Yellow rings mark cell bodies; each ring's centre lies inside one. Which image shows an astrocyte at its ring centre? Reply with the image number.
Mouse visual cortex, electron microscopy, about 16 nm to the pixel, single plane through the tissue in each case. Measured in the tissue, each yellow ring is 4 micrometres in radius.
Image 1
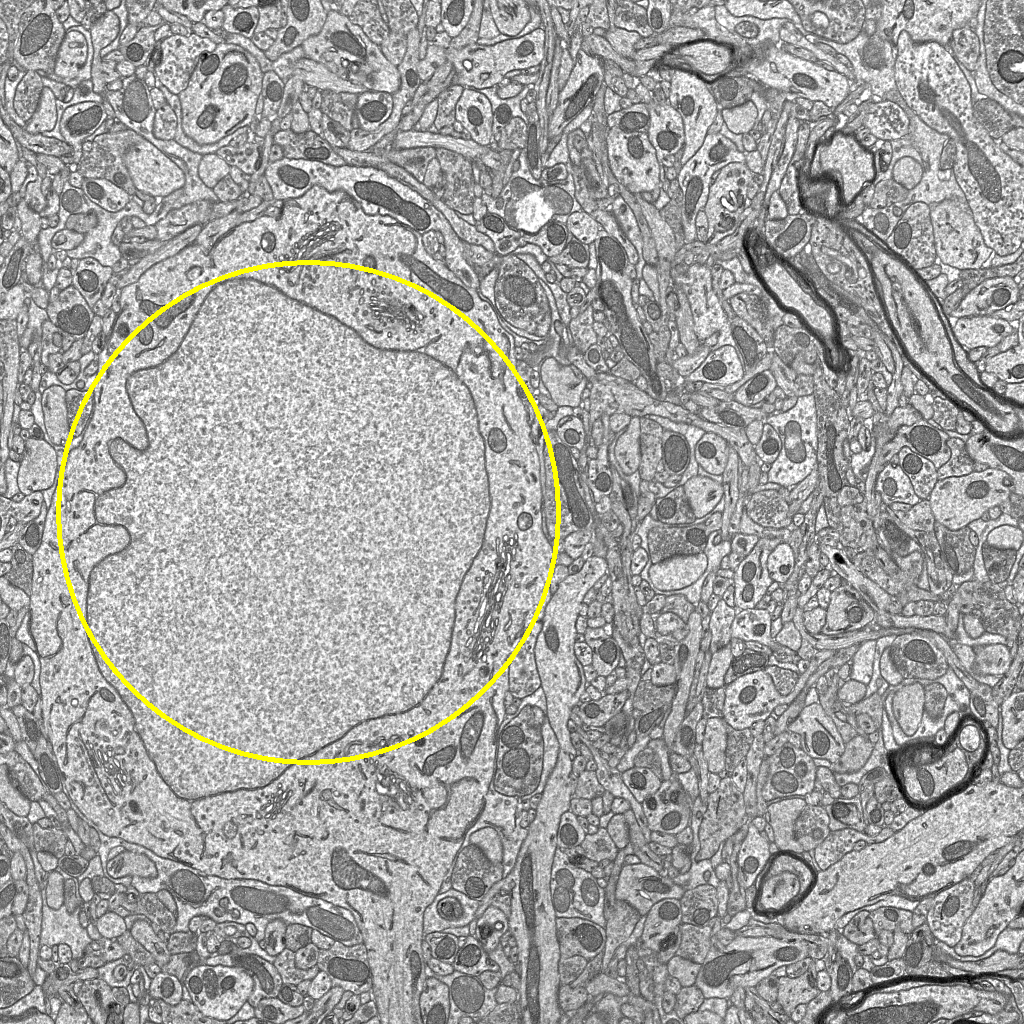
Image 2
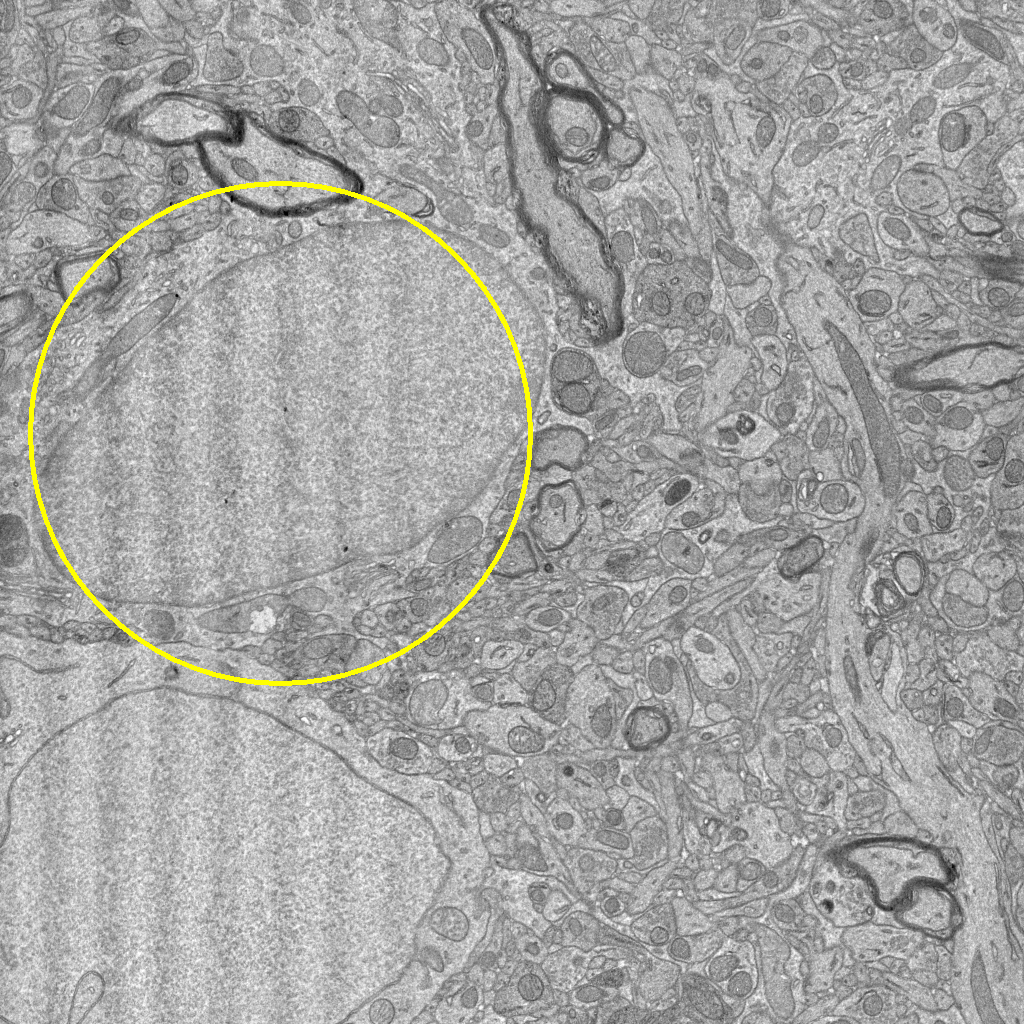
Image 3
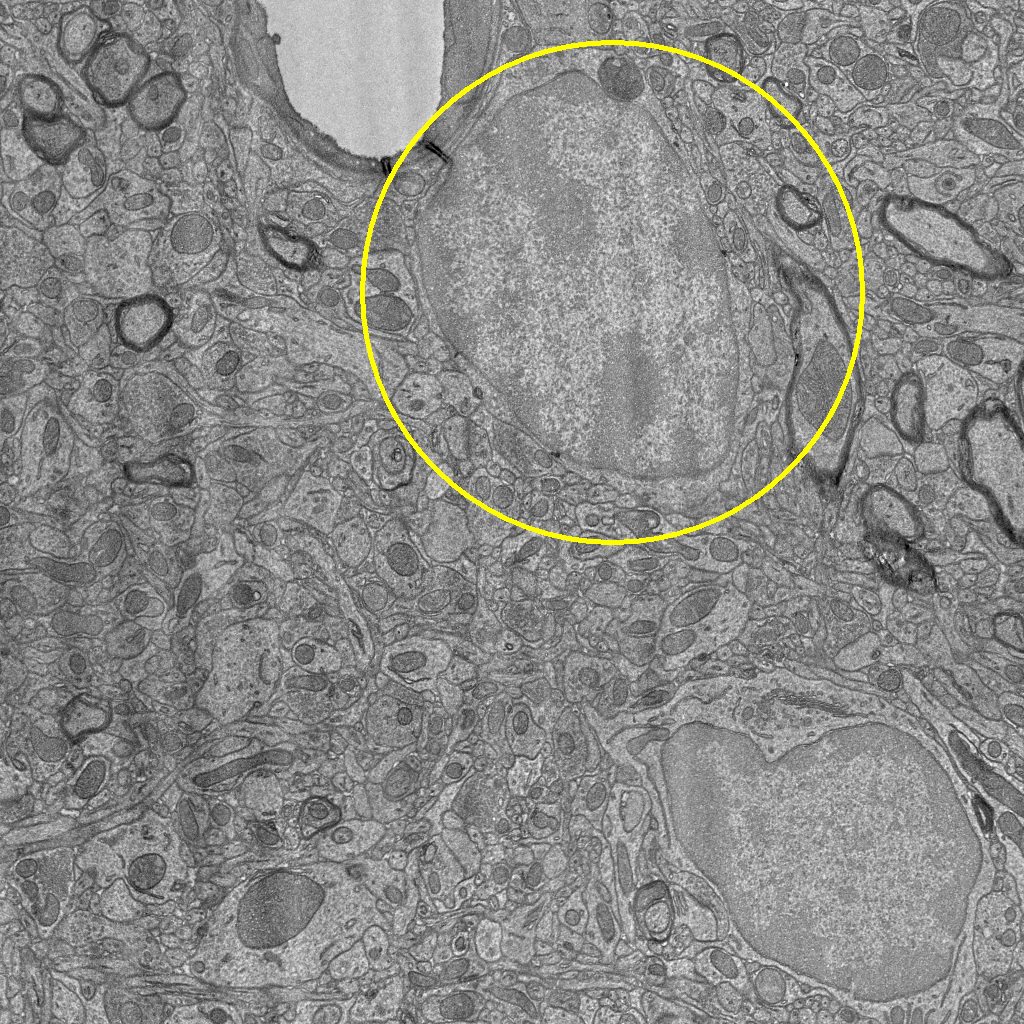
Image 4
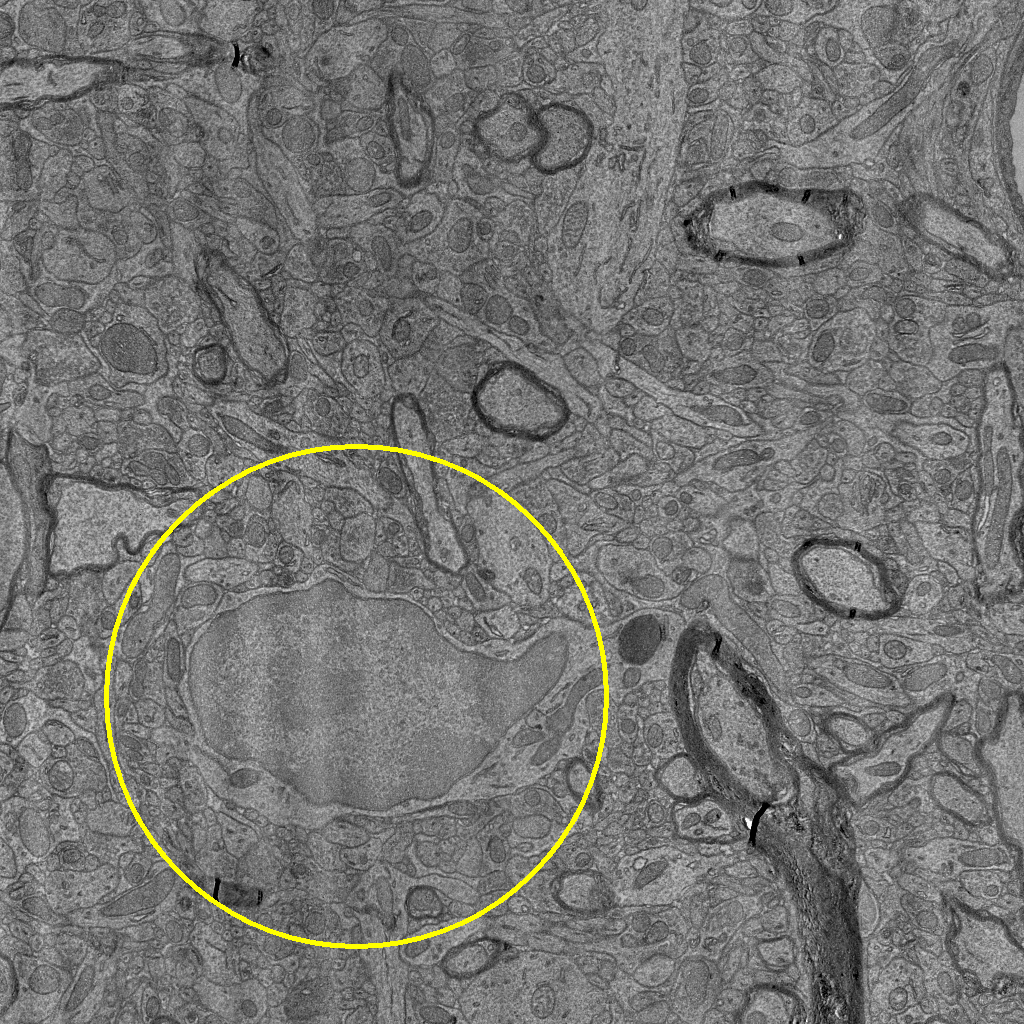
2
